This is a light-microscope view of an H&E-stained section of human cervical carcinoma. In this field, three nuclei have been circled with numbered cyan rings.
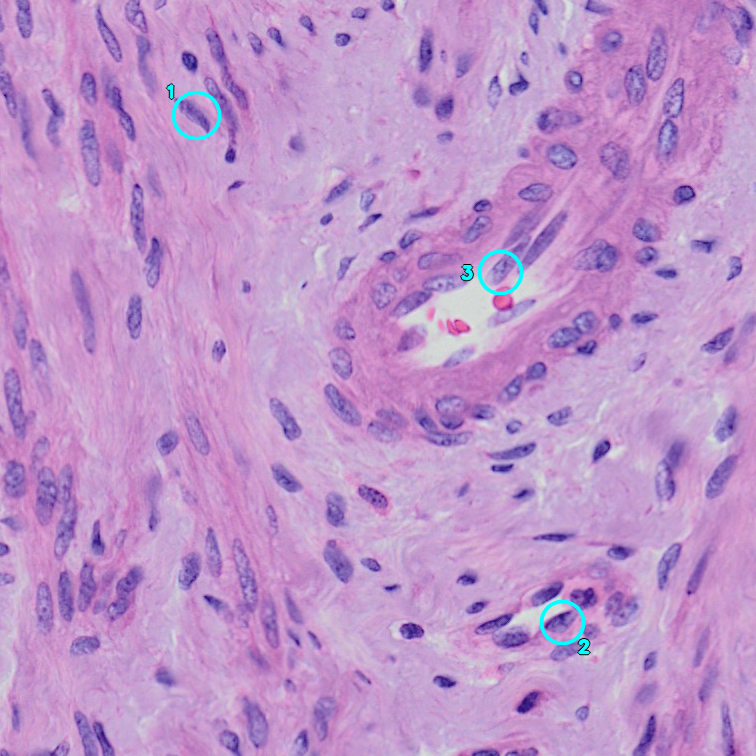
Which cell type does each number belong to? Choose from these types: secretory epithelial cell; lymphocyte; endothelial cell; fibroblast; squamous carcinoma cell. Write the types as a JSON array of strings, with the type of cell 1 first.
["fibroblast", "endothelial cell", "endothelial cell"]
